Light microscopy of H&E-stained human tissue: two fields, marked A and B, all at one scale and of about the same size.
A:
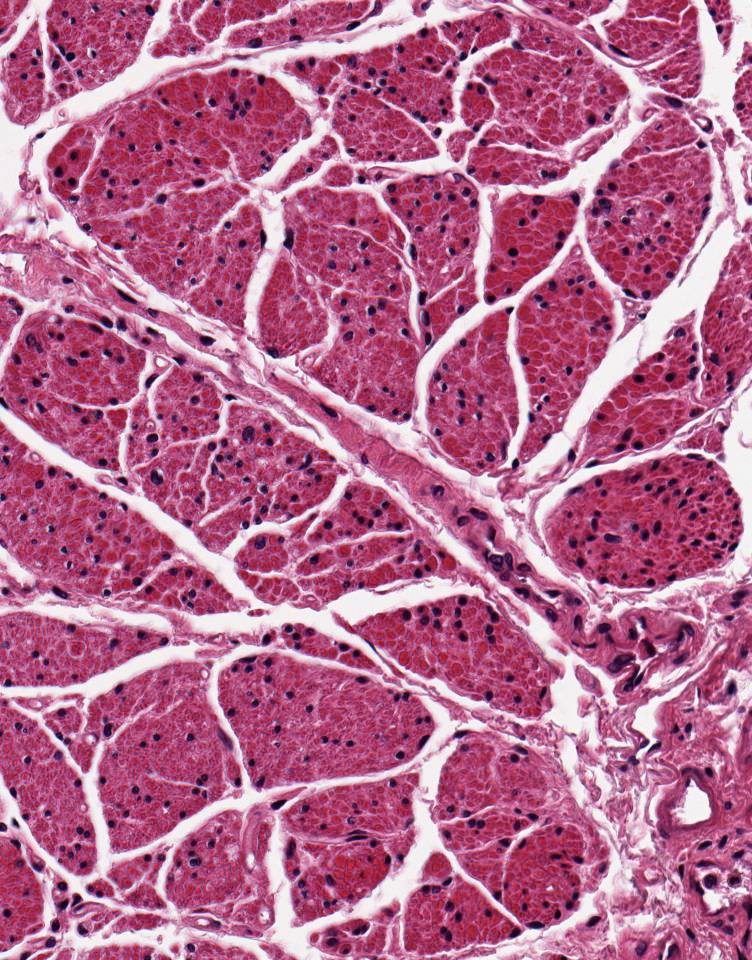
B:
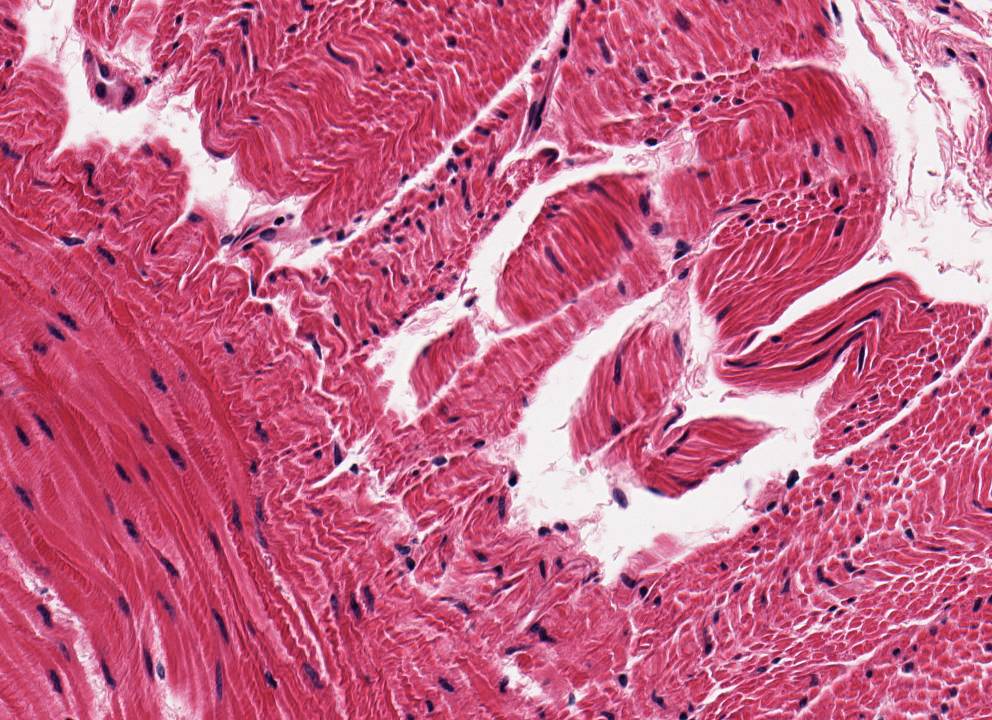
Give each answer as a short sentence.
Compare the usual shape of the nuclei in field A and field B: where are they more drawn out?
Longer, more slender nuclei lie in field B.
